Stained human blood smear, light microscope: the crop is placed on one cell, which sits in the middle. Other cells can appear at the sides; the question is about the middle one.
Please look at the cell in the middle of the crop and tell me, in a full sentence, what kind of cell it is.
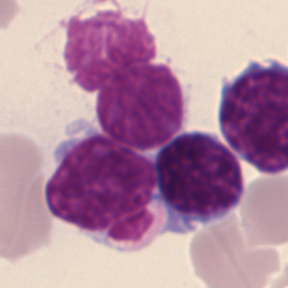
For this crop, the cell in the middle is a myeloblast.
